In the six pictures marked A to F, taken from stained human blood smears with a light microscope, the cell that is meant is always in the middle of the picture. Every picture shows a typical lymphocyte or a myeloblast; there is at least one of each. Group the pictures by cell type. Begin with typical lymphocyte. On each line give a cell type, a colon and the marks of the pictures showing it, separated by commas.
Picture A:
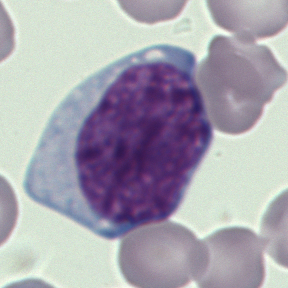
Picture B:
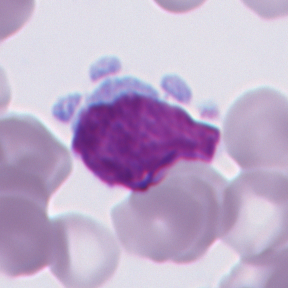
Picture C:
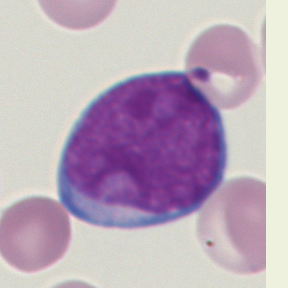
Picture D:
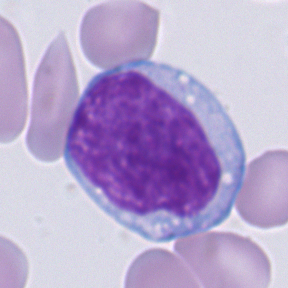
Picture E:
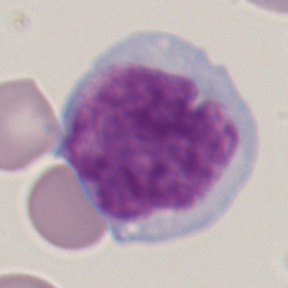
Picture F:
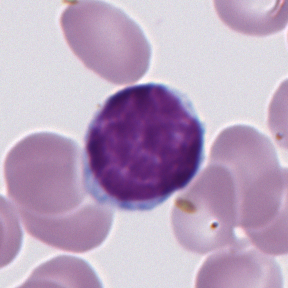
typical lymphocyte: B, F
myeloblast: A, C, D, E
